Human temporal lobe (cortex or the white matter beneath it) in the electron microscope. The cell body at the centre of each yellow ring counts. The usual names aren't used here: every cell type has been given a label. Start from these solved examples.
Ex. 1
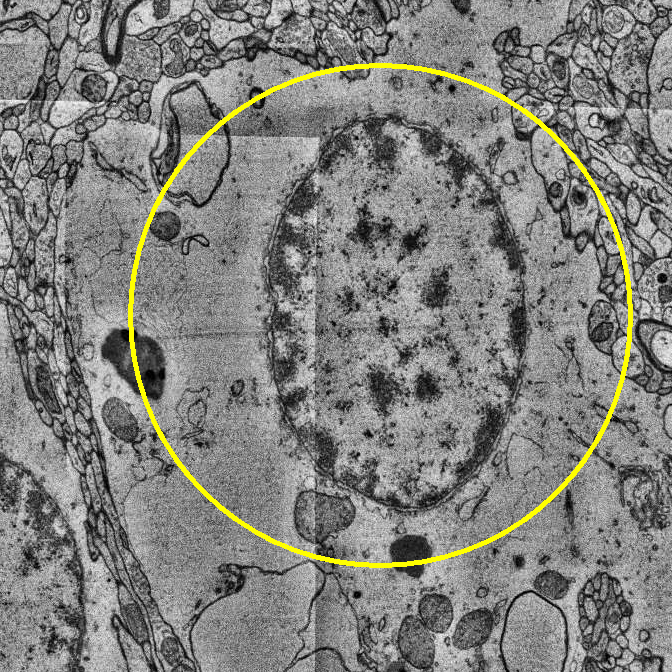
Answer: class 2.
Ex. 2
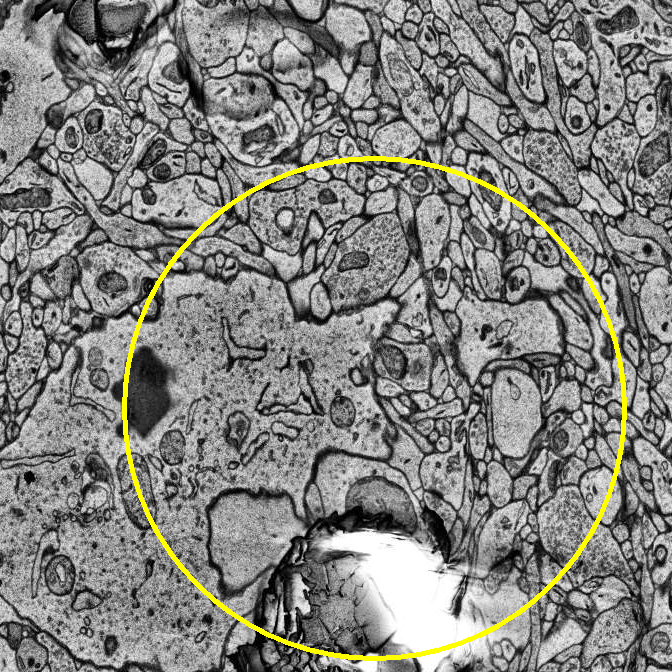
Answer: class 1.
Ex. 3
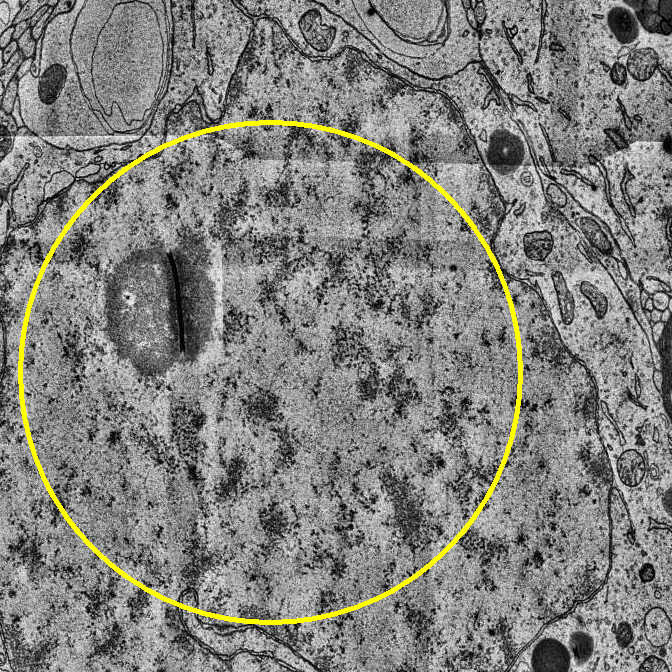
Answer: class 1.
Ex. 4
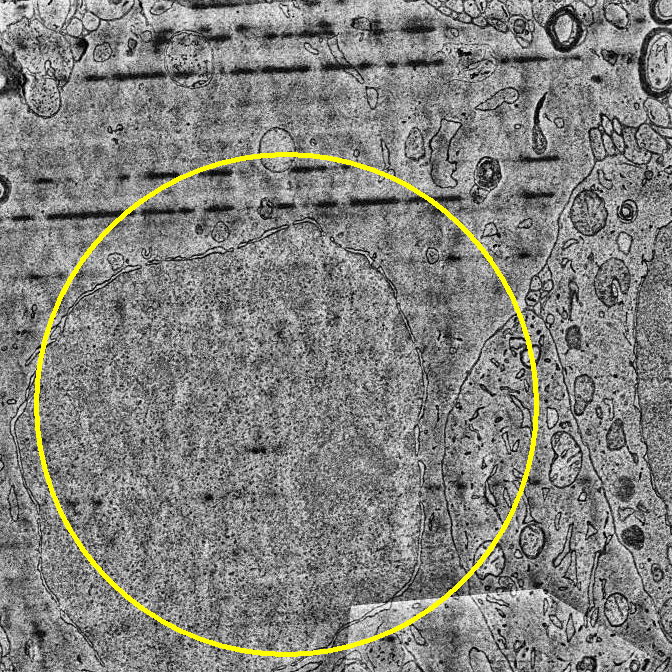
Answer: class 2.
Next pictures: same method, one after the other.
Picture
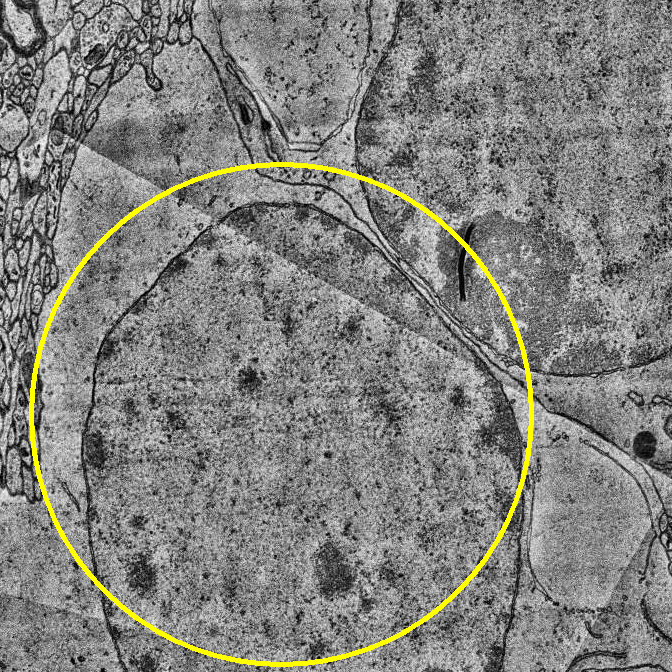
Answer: class 2.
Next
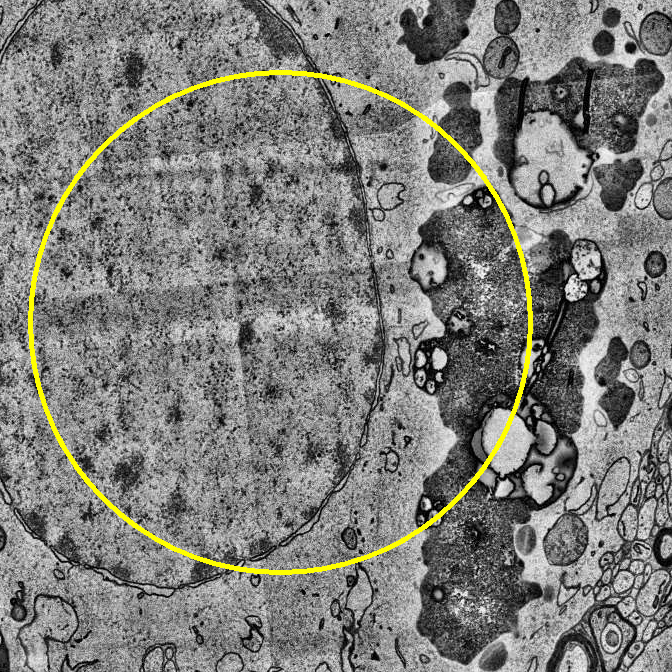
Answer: class 2.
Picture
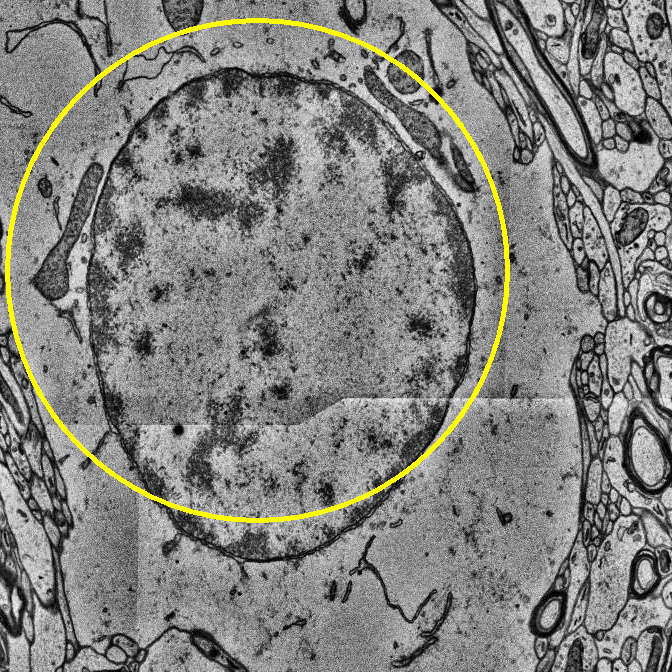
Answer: class 2.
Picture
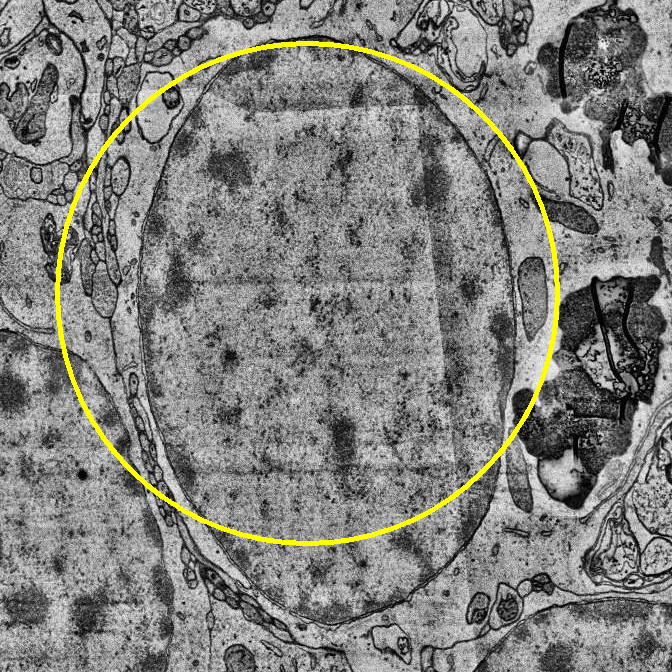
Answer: class 2.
